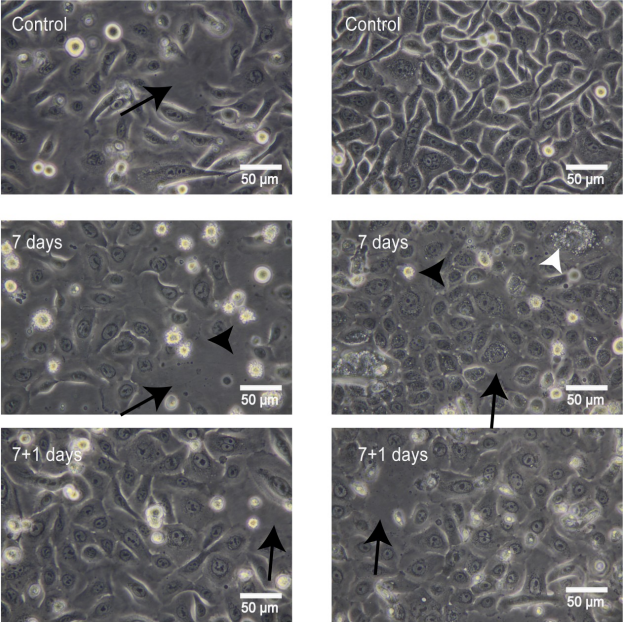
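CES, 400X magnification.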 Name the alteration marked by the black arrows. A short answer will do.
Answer: gap in cell layer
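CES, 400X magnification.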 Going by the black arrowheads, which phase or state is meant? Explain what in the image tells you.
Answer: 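The arrowheads point to small rounded cells with a bright halo. These round cells stand out from the flat cells of the layer.
Hence: detaching/apoptotic cell.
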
